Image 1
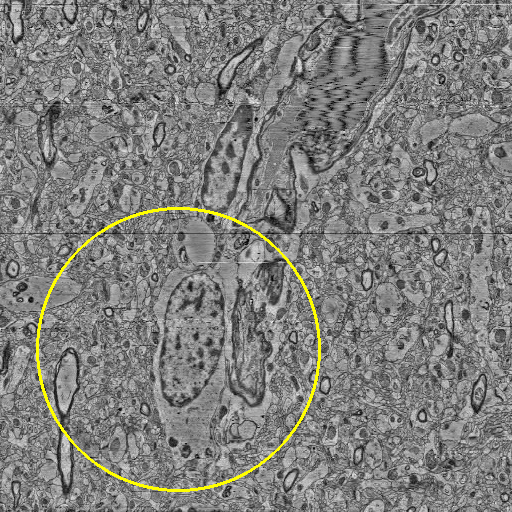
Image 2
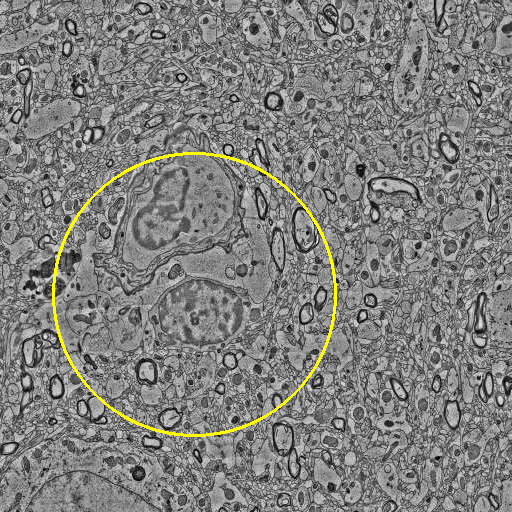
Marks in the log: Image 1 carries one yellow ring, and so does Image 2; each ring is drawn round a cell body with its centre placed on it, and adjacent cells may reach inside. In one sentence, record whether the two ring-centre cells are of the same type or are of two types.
The two cells at the ring centres, one in each image, are of two types.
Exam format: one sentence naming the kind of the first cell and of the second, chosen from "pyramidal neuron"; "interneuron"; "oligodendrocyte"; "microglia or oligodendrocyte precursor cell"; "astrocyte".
The first picture's cell is a microglial cell or oligodendrocyte precursor cell, and the second picture's cell is an oligodendrocyte.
